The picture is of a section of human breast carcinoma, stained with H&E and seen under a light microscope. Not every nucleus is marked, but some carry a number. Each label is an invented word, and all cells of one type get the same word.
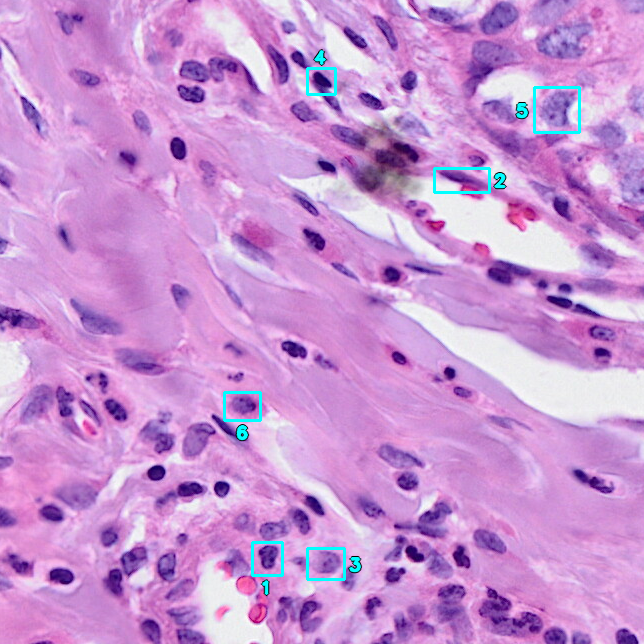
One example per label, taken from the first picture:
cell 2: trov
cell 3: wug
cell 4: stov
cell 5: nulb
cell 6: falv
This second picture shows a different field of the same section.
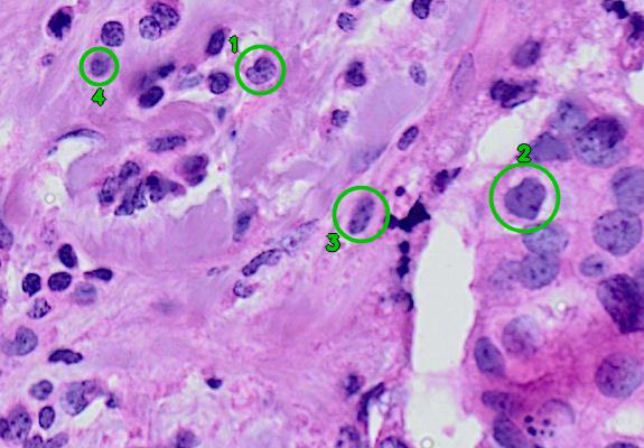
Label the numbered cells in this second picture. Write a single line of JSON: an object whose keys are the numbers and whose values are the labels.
{"1": "wug", "2": "nulb", "3": "falv", "4": "falv"}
